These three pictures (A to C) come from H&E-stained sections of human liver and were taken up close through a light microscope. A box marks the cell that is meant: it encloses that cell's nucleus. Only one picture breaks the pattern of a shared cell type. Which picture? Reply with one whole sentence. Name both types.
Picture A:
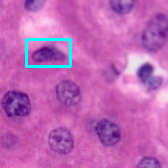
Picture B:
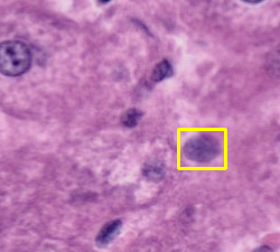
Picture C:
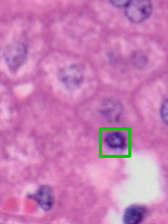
Picture B differs, because its cell is an endothelial cell and the rest are “fibroblasts or stellate cells”.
